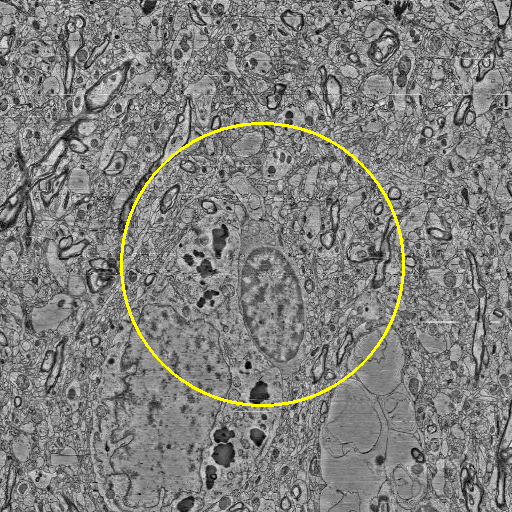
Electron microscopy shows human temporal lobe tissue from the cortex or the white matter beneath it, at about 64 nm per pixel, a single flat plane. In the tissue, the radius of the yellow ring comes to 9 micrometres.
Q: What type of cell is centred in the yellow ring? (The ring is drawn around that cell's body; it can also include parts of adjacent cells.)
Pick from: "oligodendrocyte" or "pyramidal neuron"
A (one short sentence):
The yellow ring is centred on an oligodendrocyte.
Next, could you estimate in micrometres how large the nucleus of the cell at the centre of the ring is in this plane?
The nucleus is approximately 8 micrometers long by 4 micrometers wide in this plane.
